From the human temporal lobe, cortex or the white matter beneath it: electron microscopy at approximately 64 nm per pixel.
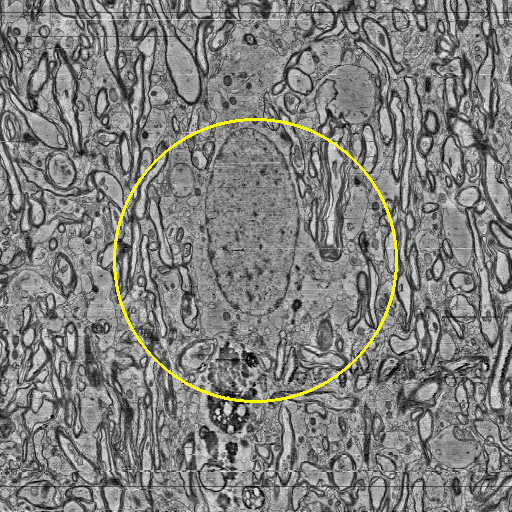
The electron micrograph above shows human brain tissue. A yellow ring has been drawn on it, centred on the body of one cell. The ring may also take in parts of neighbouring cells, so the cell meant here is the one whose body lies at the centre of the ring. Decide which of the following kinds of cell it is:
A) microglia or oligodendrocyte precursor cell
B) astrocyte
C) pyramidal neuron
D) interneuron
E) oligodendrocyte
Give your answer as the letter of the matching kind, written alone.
B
